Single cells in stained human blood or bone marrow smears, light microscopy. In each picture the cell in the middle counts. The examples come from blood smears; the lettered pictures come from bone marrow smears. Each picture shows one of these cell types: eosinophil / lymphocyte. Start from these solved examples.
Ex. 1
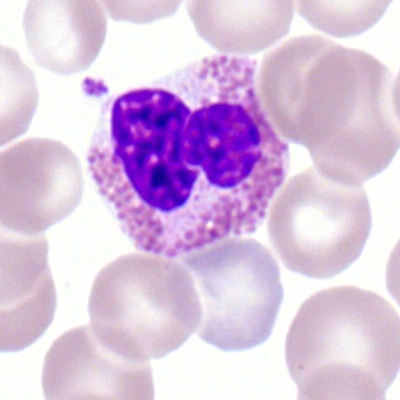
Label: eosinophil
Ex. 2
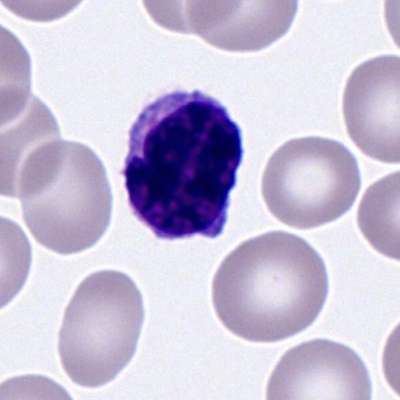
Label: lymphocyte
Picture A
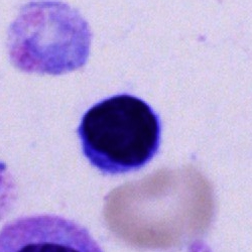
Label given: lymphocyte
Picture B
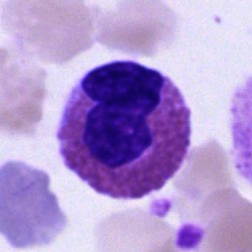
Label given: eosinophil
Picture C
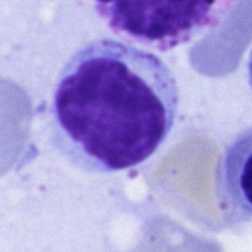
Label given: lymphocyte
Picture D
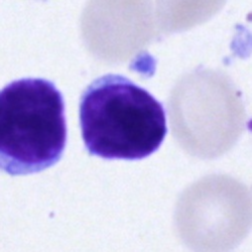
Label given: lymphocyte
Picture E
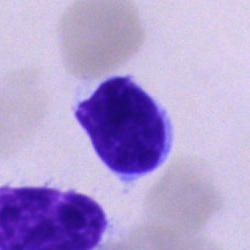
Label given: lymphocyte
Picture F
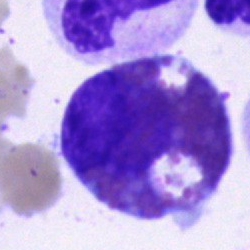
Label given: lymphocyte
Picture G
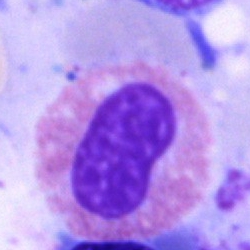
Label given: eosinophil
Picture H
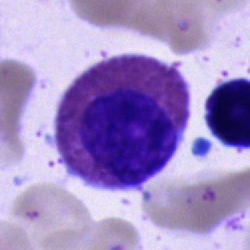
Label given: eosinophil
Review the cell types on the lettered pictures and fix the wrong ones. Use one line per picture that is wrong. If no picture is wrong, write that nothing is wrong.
Wrong: F (lymphocyte); correct: eosinophil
